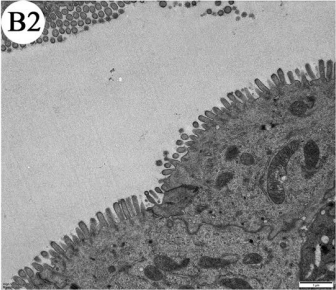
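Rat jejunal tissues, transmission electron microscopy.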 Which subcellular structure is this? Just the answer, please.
Microvilli.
